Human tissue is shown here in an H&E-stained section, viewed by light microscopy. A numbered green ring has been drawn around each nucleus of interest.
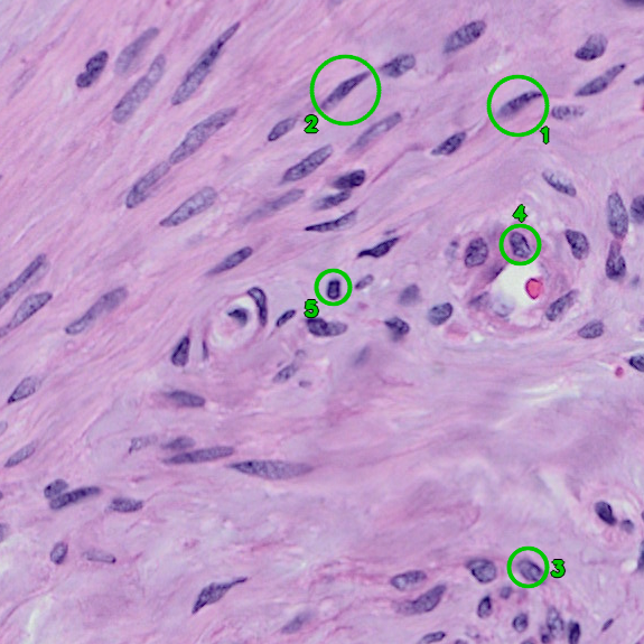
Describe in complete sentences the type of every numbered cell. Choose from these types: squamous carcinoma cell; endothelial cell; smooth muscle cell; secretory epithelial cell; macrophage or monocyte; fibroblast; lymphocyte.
Cell 1 is a fibroblast, cell 2 is a fibroblast, cell 3 is a smooth muscle cell, cell 4 is an endothelial cell and cell 5 is a fibroblast.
